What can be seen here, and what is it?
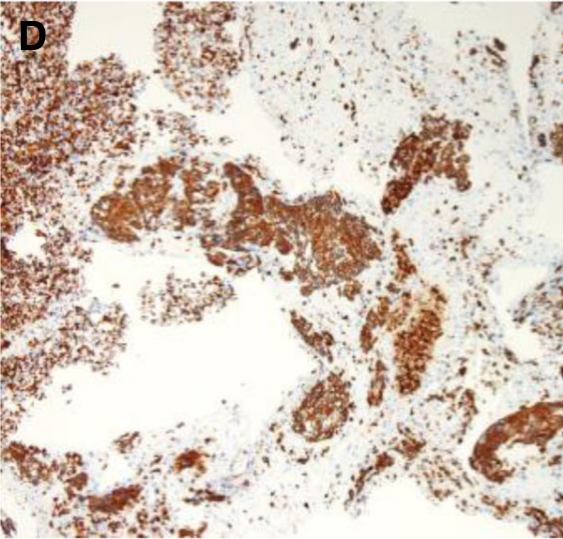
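Irregular clusters and sheets of tumor cells are scattered through the fragmented biopsy tissue, many of them stained strongly brown. The brown colour fills the cytoplasm of the cells, so that whole nests appear solid dark brown, while nuclei are largely masked. Between the nests lies paler, blue-counterstained loose tissue with fewer, unstained cells. Some fragments stain less intensely, with brown cells mixed among paler ones. The pattern shows the tumor cells are positive for this stain.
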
